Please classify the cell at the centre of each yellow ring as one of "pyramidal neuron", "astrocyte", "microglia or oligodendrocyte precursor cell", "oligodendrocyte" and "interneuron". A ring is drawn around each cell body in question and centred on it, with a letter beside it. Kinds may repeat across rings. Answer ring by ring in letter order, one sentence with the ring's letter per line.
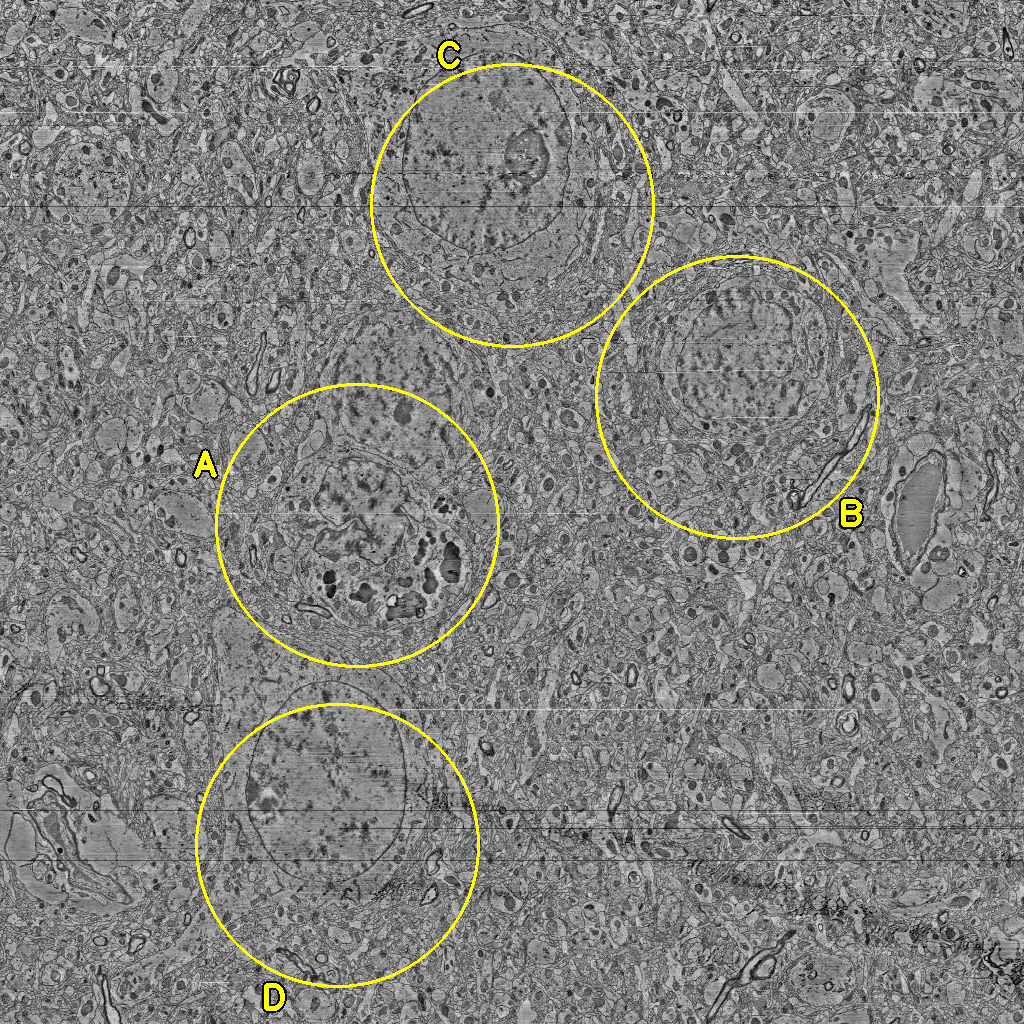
The cell at the heart of ring A is an interneuron.
The cell at the heart of ring B is an interneuron.
The cell at the heart of ring C is a pyramidal neuron.
The cell at the heart of ring D is a pyramidal neuron.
